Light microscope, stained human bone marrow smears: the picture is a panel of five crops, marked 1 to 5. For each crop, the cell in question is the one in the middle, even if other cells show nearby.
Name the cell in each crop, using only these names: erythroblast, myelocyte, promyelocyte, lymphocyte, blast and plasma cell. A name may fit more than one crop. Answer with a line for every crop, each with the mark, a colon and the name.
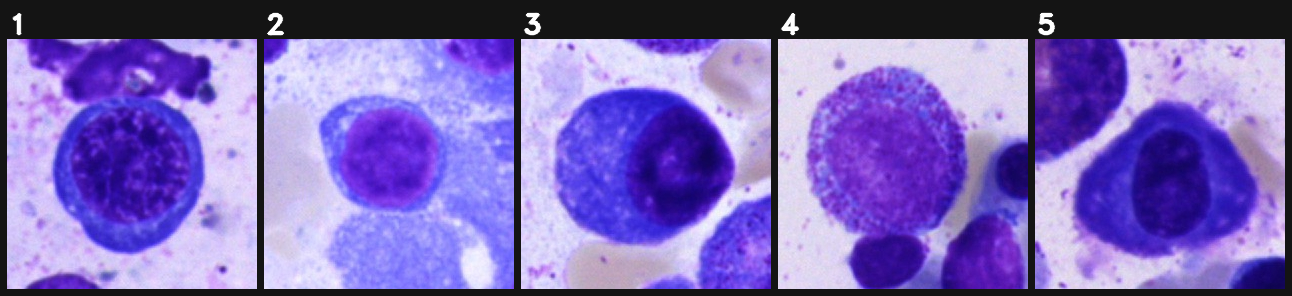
1: erythroblast
2: lymphocyte
3: plasma cell
4: promyelocyte
5: plasma cell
